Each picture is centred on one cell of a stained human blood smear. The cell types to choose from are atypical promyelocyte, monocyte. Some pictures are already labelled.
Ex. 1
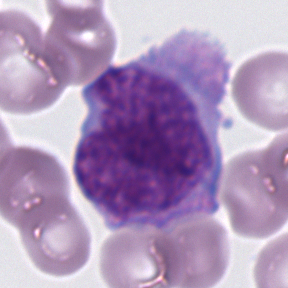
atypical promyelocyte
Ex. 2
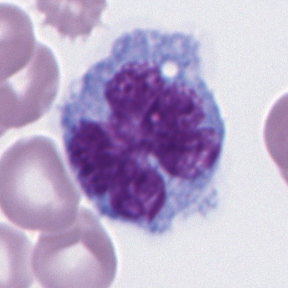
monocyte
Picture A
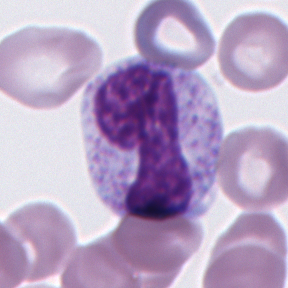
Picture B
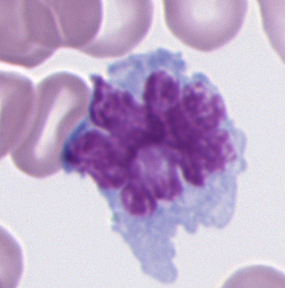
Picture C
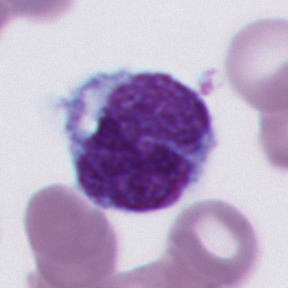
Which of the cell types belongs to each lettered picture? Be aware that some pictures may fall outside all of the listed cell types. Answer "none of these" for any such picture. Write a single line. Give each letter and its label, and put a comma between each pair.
A none of these, B monocyte, C monocyte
